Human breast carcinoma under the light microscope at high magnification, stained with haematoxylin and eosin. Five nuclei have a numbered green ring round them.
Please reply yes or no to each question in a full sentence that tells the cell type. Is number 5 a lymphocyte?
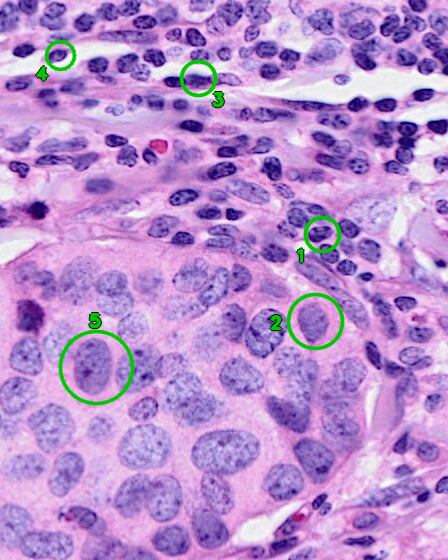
No, the cell tagged 5 is a carcinoma cell, not a lymphocyte.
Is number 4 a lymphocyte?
Yes, of the numbered cells, number 4 is a lymphocyte.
